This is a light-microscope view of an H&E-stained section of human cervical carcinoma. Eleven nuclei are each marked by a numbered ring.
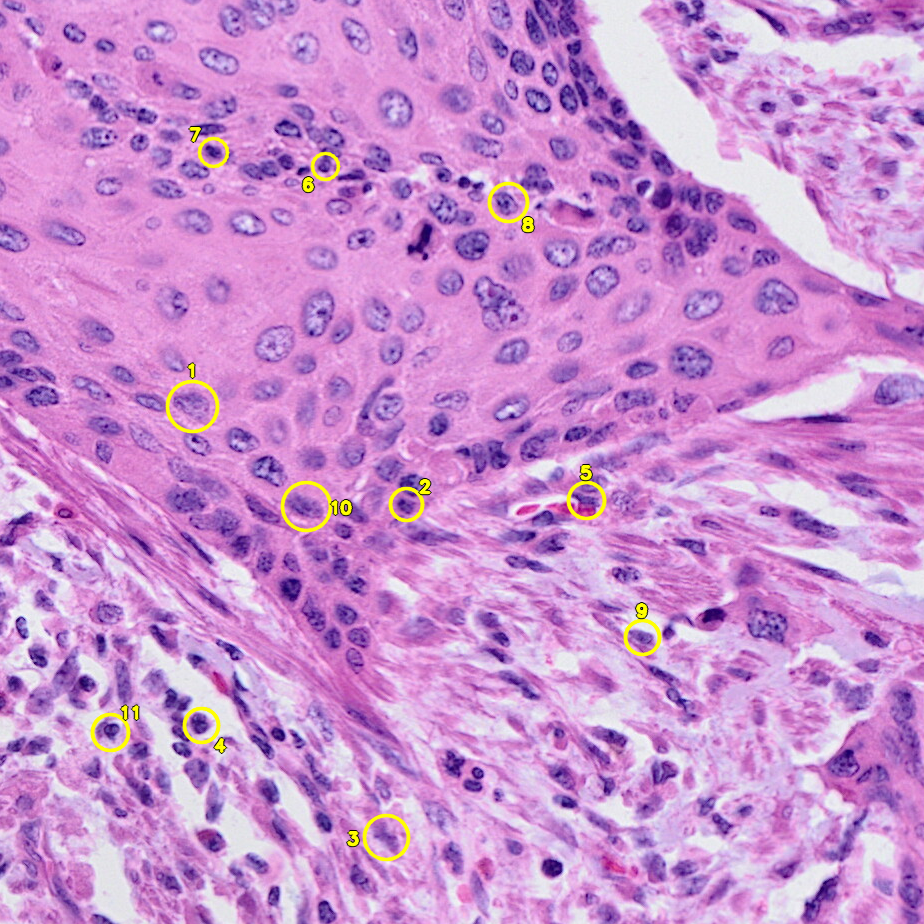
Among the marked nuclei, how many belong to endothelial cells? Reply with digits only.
1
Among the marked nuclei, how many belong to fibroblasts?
2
